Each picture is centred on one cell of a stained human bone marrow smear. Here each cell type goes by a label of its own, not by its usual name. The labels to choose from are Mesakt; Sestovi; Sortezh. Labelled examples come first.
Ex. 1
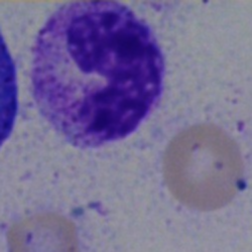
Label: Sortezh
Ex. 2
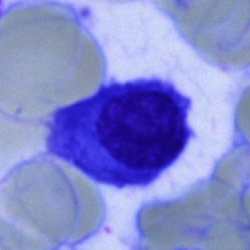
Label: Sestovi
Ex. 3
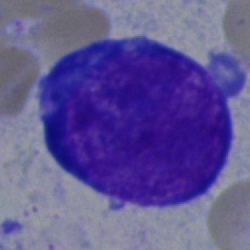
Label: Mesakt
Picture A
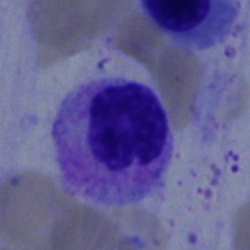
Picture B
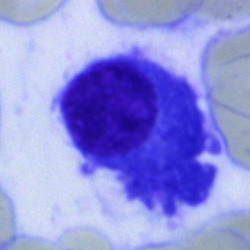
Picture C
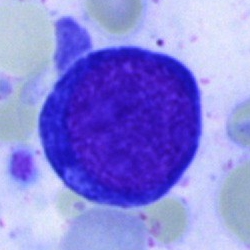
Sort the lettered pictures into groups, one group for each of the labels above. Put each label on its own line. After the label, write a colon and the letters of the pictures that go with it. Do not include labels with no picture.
Mesakt: C
Sestovi: B
Sortezh: A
